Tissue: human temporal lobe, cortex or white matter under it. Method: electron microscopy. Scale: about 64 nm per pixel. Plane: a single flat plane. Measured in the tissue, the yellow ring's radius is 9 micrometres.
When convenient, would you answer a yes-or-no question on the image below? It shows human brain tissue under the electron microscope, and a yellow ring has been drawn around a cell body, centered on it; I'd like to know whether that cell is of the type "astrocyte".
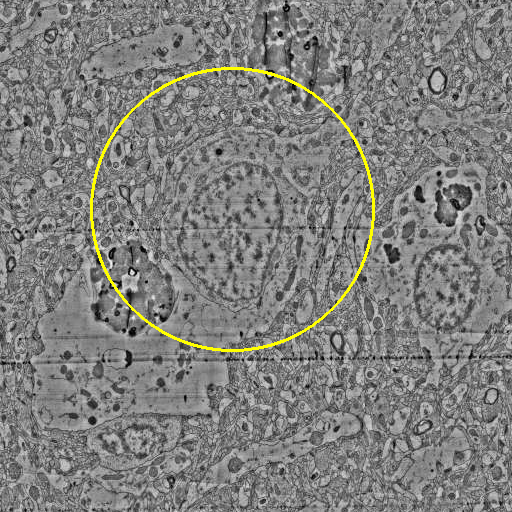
no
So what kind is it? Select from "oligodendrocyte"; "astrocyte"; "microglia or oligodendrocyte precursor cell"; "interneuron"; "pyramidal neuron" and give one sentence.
Sitting at the ring centre is an interneuron.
